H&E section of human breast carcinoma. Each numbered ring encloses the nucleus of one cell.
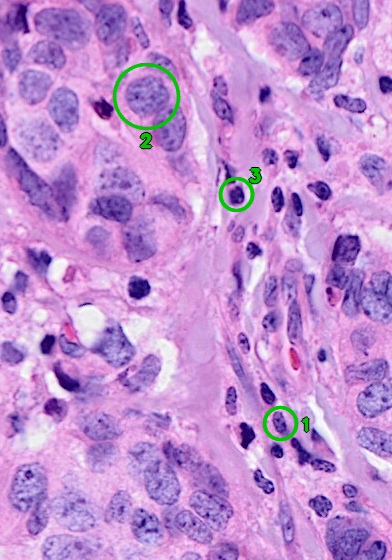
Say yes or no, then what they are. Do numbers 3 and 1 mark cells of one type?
No, cell 3 is a lymphocyte, and cell 1, for its part, is a mast cell.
